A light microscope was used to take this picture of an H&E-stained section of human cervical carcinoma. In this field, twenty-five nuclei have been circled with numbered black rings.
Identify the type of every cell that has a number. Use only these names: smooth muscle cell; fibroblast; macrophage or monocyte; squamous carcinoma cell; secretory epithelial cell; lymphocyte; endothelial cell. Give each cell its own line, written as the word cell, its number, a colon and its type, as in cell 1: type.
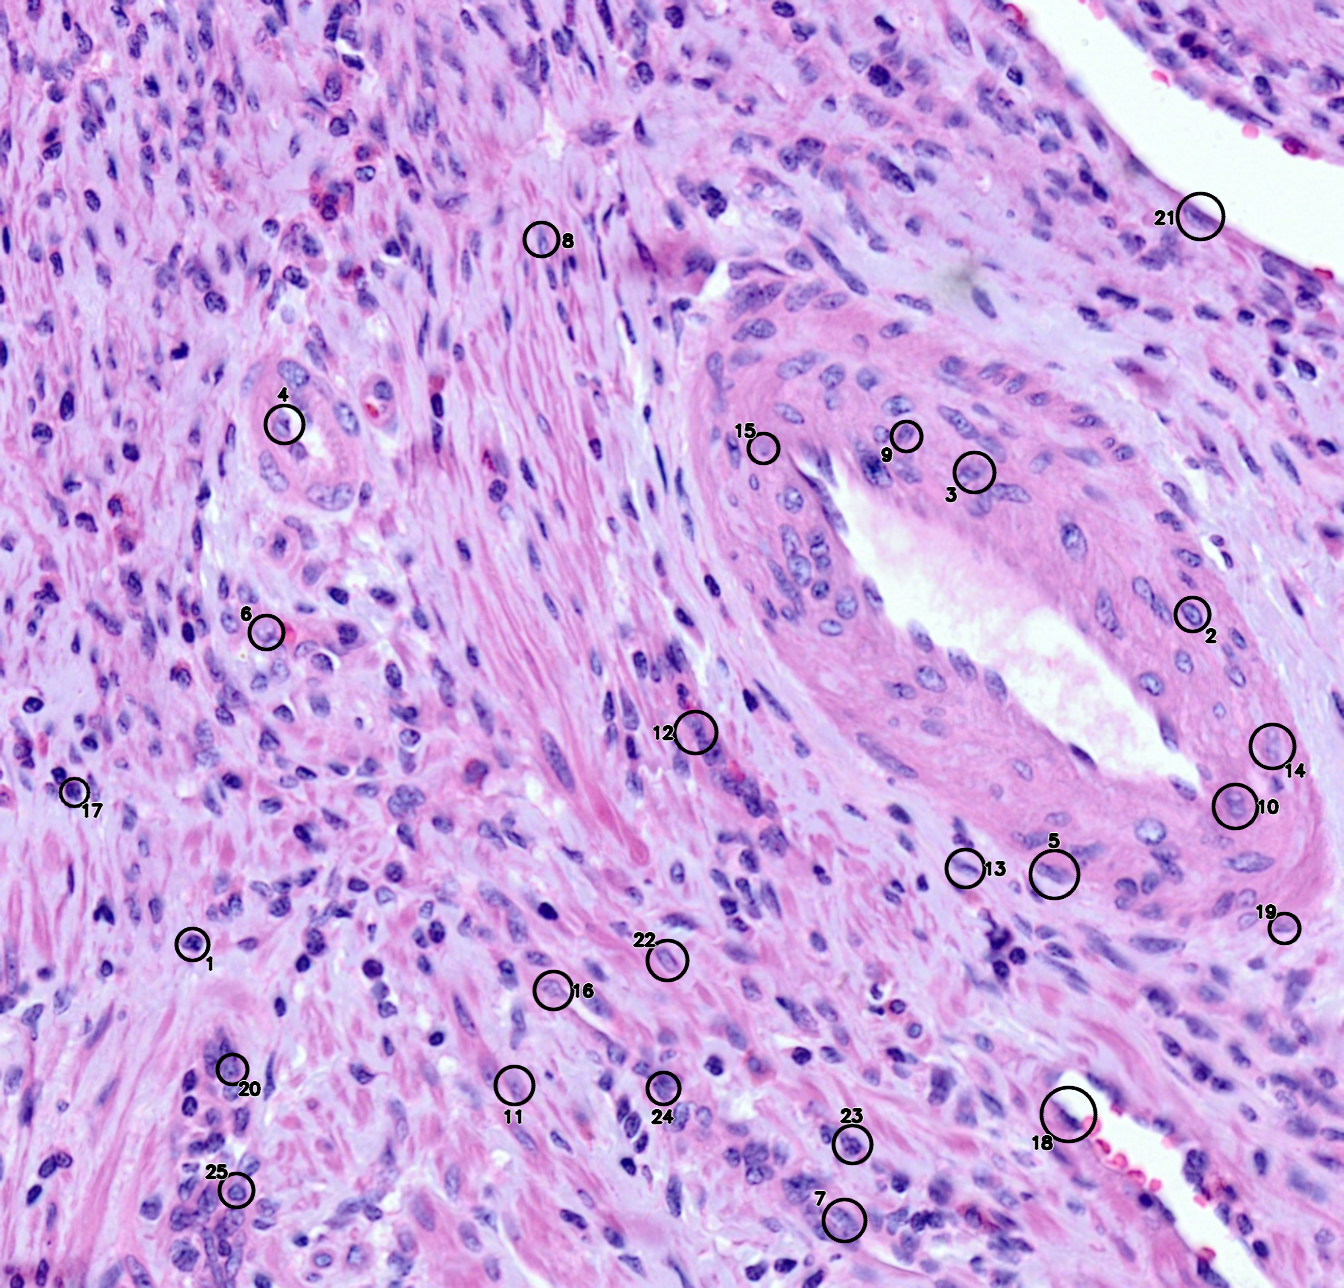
cell 1: lymphocyte
cell 2: smooth muscle cell
cell 3: smooth muscle cell
cell 4: endothelial cell
cell 5: smooth muscle cell
cell 6: endothelial cell
cell 7: endothelial cell
cell 8: smooth muscle cell
cell 9: smooth muscle cell
cell 10: smooth muscle cell
cell 11: smooth muscle cell
cell 12: endothelial cell
cell 13: fibroblast
cell 14: smooth muscle cell
cell 15: smooth muscle cell
cell 16: endothelial cell
cell 17: lymphocyte
cell 18: endothelial cell
cell 19: smooth muscle cell
cell 20: endothelial cell
cell 21: endothelial cell
cell 22: smooth muscle cell
cell 23: lymphocyte
cell 24: endothelial cell
cell 25: endothelial cell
